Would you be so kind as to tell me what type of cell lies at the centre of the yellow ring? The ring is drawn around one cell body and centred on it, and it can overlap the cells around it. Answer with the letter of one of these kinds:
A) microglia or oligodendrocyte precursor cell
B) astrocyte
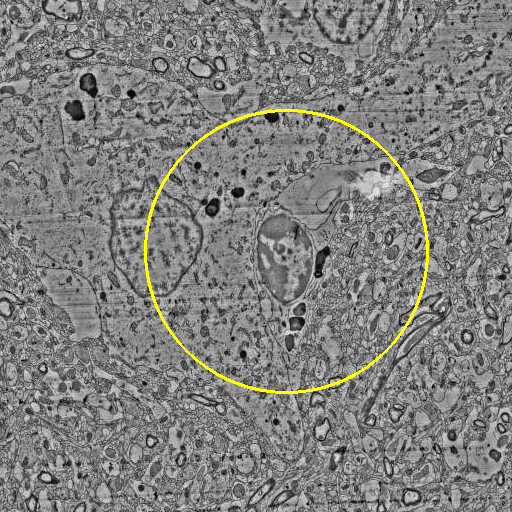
A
